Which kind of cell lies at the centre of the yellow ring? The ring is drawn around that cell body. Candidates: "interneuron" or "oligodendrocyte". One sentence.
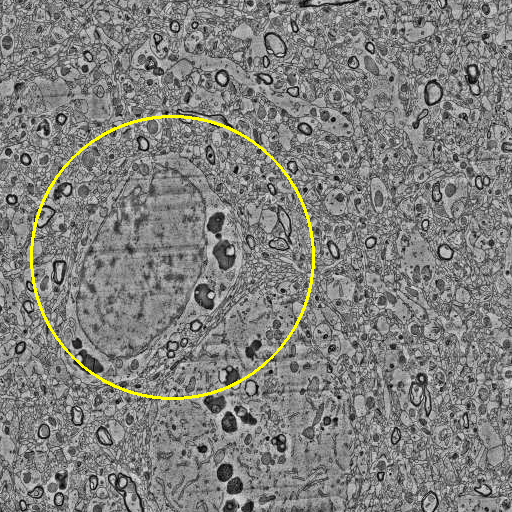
Lying at the centre of the ring is an interneuron.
